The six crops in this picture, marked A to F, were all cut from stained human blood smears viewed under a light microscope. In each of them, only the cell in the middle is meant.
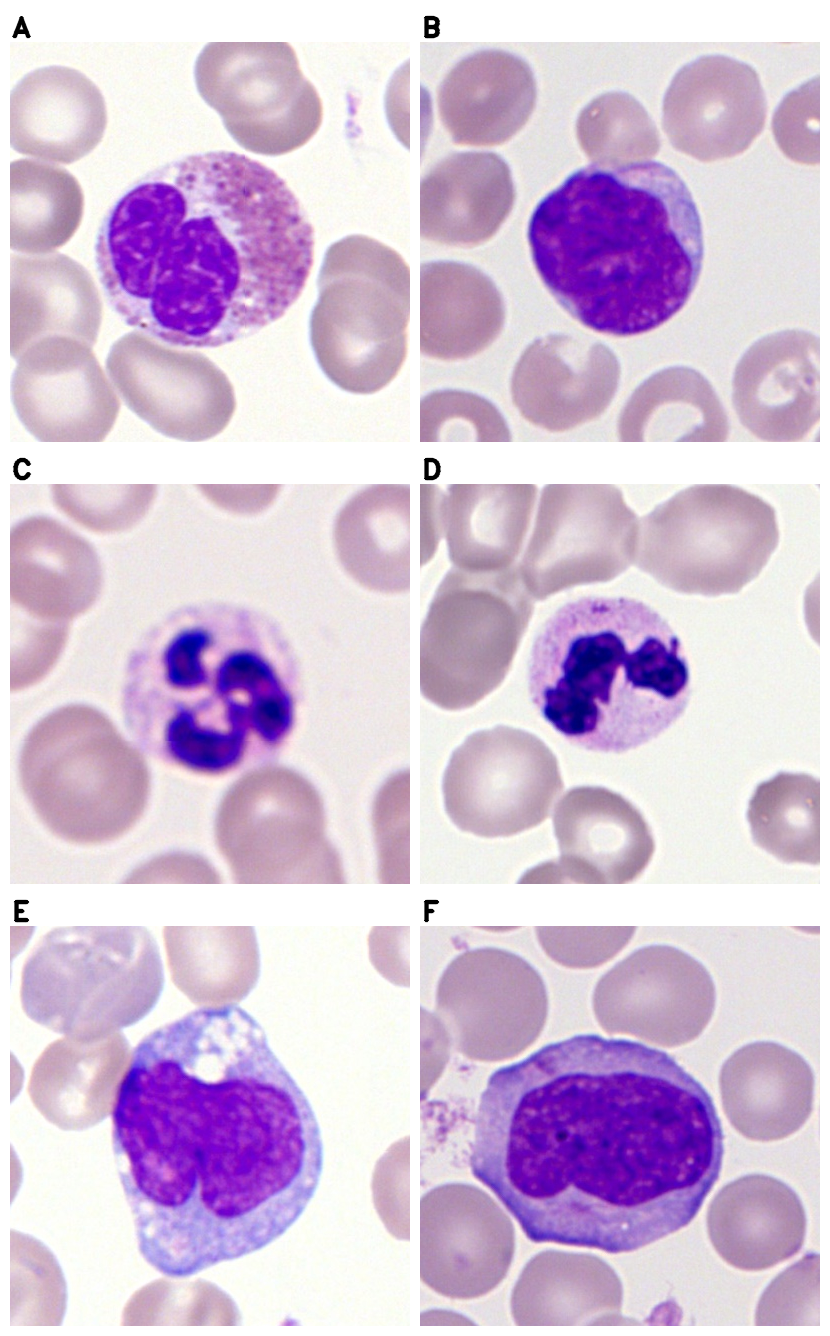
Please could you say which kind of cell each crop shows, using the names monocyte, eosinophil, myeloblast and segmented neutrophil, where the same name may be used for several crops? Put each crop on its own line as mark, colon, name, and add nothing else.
A: eosinophil
B: myeloblast
C: segmented neutrophil
D: segmented neutrophil
E: monocyte
F: monocyte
